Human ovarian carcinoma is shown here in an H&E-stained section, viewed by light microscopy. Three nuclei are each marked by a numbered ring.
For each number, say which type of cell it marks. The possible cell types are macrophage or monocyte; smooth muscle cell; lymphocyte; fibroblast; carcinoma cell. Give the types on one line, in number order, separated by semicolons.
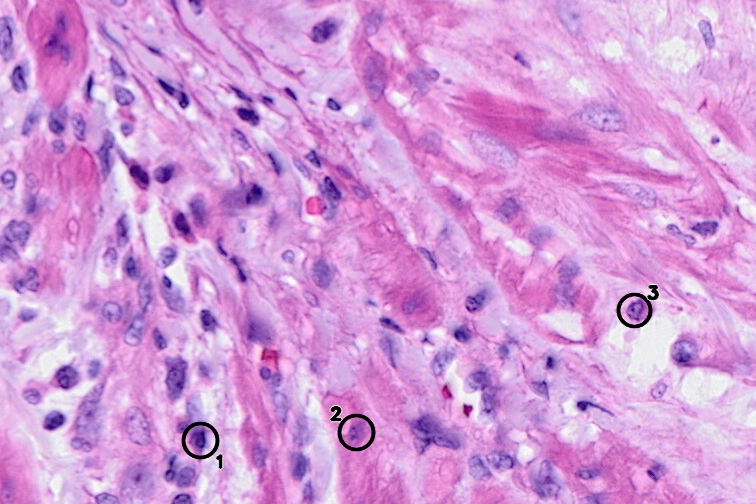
lymphocyte; smooth muscle cell; macrophage or monocyte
